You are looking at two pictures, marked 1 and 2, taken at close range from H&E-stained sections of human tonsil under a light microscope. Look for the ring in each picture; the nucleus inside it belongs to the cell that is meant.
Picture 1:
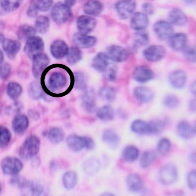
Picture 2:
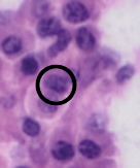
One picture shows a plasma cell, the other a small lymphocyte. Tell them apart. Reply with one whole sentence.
It is picture 1 that shows a small lymphocyte, and picture 2 that shows a plasma cell.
